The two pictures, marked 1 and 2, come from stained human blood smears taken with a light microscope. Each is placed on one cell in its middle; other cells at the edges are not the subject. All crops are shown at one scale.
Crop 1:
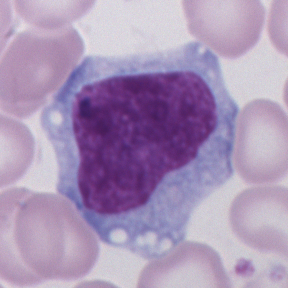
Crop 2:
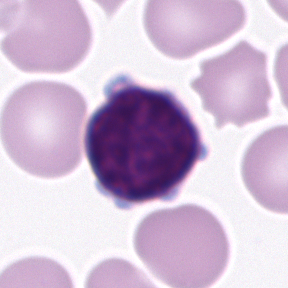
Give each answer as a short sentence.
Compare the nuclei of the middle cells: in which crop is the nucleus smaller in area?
Crop 2 shows the smaller nucleus, since that in crop 1 covers about 1.5 times as much area.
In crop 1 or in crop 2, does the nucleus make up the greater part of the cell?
Of the two, the nucleus in crop 2 makes up the greater part of its cell.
